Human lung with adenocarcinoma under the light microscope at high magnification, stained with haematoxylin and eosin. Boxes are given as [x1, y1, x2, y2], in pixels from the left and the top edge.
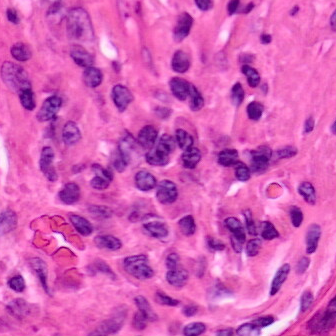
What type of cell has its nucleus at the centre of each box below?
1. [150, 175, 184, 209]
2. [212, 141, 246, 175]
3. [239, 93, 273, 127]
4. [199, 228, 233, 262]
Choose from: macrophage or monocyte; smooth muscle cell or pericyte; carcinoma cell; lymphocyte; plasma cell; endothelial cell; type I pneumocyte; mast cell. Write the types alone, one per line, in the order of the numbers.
plasma cell
plasma cell
lymphocyte
plasma cell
